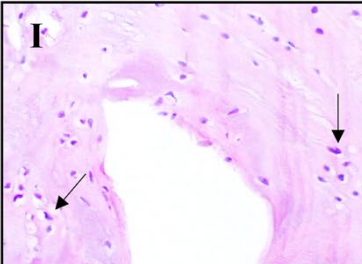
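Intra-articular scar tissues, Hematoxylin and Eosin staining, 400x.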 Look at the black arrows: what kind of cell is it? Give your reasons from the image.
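Chondrocytes. Rounded cells sitting in clear spaces within a smooth, glassy matrix. Cells grouped in small clusters.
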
